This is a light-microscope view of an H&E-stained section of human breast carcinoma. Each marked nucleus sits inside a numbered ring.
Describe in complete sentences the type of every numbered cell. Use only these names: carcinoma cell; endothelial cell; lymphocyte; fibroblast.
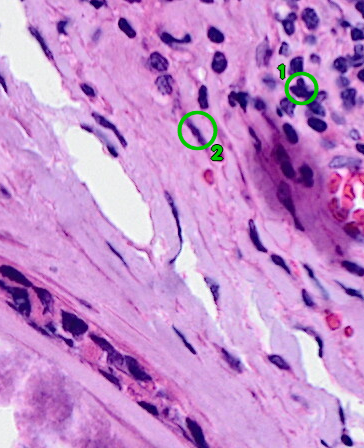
Cell 1 is a lymphocyte. Cell 2 is a fibroblast.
